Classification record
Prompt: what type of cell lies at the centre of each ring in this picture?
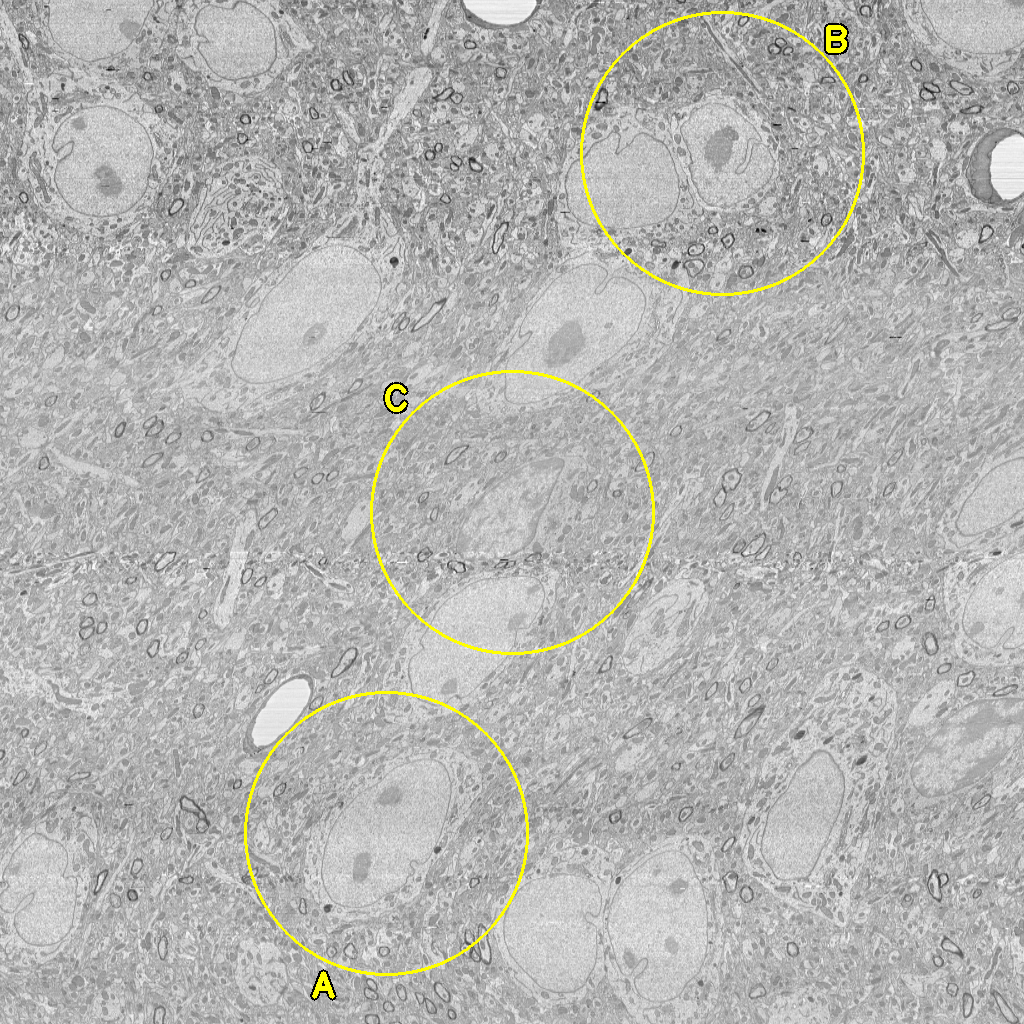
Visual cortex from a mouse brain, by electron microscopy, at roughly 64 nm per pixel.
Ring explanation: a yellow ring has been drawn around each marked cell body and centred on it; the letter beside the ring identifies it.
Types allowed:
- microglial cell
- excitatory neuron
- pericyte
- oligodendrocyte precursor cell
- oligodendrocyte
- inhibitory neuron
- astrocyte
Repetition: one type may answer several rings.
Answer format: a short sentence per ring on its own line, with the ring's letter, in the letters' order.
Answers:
Ring A shows an excitatory neuron at its centre.
Ring B shows an inhibitory neuron at its centre.
Ring C shows an oligodendrocyte at its centre.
